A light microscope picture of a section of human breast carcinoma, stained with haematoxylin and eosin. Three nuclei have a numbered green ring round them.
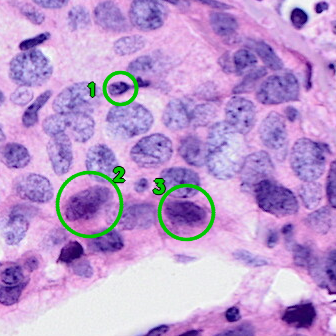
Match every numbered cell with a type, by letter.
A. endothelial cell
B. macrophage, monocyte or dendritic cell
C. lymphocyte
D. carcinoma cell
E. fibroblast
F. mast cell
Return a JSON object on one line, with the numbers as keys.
{"1": "C", "2": "D", "3": "D"}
